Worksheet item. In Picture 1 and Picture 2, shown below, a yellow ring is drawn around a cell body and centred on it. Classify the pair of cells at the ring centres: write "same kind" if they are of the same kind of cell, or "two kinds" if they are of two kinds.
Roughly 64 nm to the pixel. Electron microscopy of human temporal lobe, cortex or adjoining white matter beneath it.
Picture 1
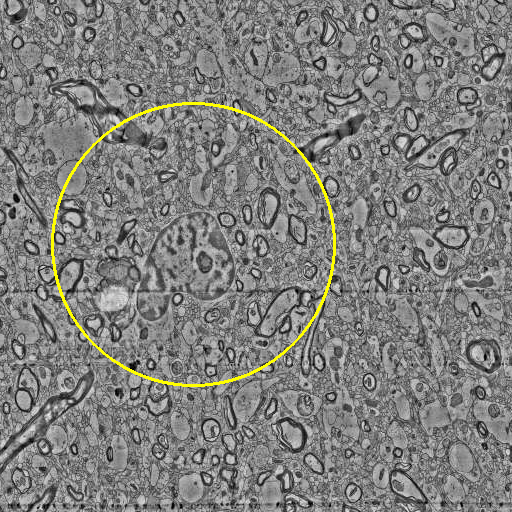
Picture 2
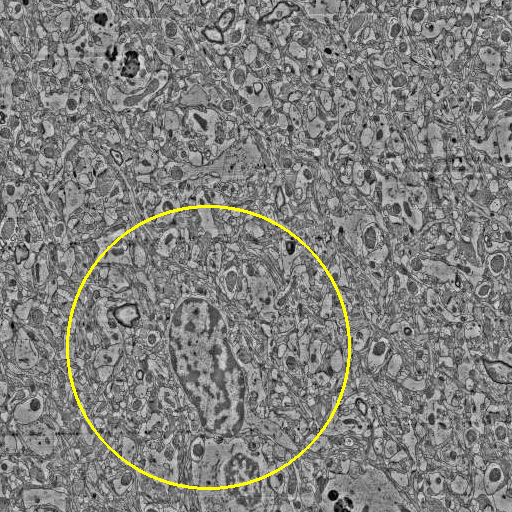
same kind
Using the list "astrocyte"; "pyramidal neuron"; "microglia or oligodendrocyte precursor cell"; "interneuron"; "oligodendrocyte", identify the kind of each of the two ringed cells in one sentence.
The cell in the first picture is a microglial cell or oligodendrocyte precursor cell, and so is the one in the second.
